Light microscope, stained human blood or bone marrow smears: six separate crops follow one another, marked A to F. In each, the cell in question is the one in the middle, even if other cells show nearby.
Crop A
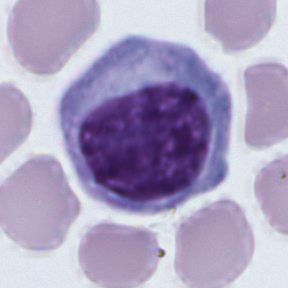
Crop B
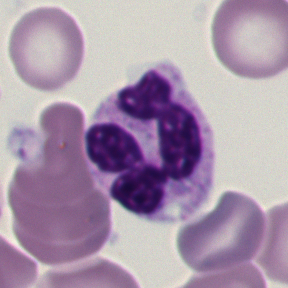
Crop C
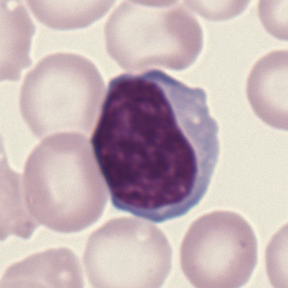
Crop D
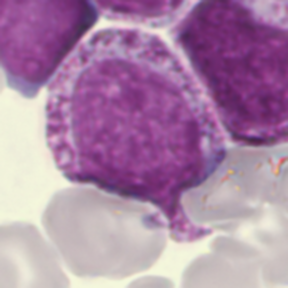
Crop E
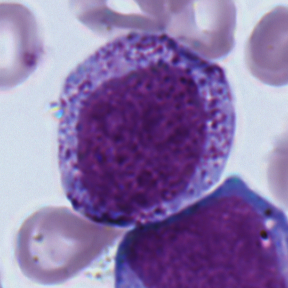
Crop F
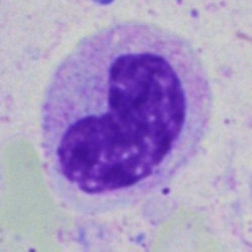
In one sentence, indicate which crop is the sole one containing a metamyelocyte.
Crop F is where a metamyelocyte is shown.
